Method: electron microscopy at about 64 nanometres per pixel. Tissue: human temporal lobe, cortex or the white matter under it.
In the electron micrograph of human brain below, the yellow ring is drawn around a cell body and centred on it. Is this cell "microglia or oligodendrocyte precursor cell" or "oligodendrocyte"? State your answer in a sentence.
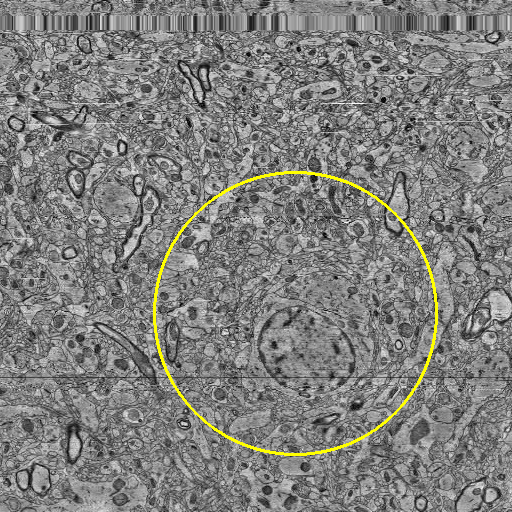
The cell in the middle of the ring is a microglial cell or oligodendrocyte precursor cell.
